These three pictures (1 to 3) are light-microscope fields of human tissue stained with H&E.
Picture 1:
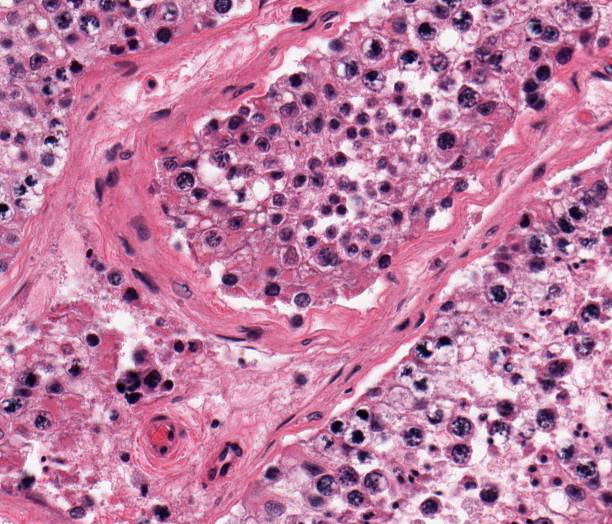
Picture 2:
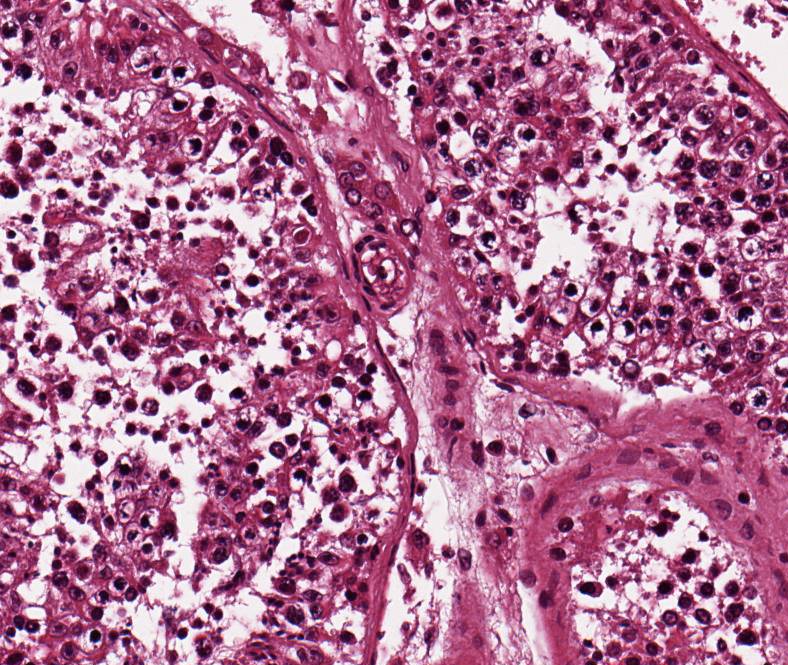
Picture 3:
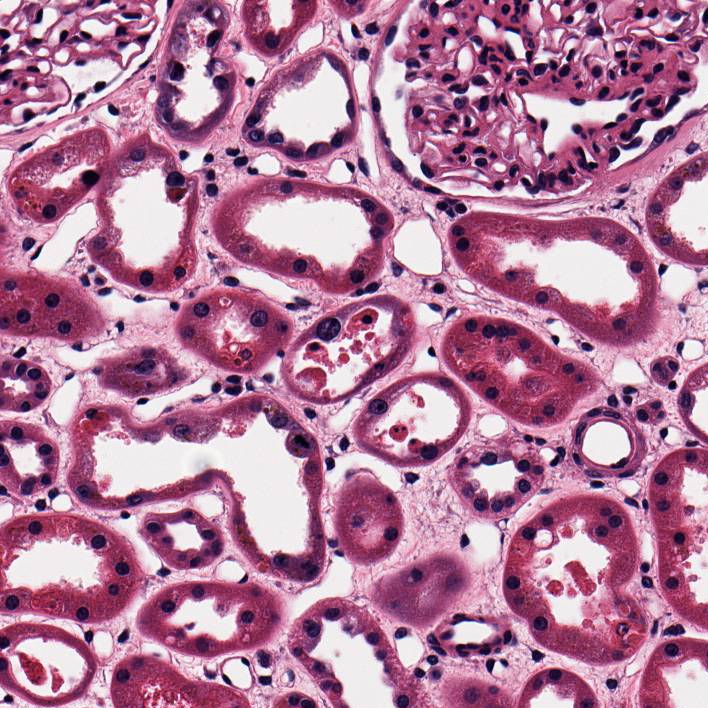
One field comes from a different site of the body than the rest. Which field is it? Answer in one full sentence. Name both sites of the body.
All pictures except 3 come from the testis; picture 3 comes from the renal cortex.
